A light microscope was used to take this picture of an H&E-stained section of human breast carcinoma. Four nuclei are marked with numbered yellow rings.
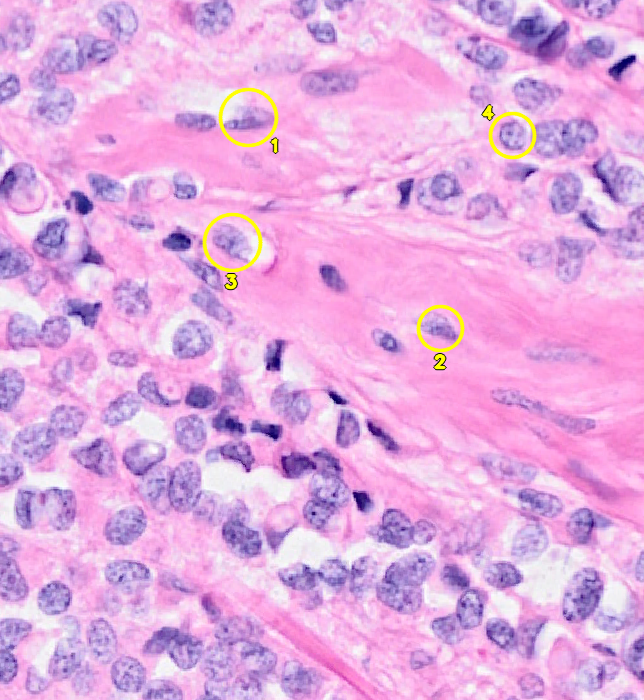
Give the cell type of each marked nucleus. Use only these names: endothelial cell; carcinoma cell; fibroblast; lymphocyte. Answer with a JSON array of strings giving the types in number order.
["endothelial cell", "fibroblast", "endothelial cell", "carcinoma cell"]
